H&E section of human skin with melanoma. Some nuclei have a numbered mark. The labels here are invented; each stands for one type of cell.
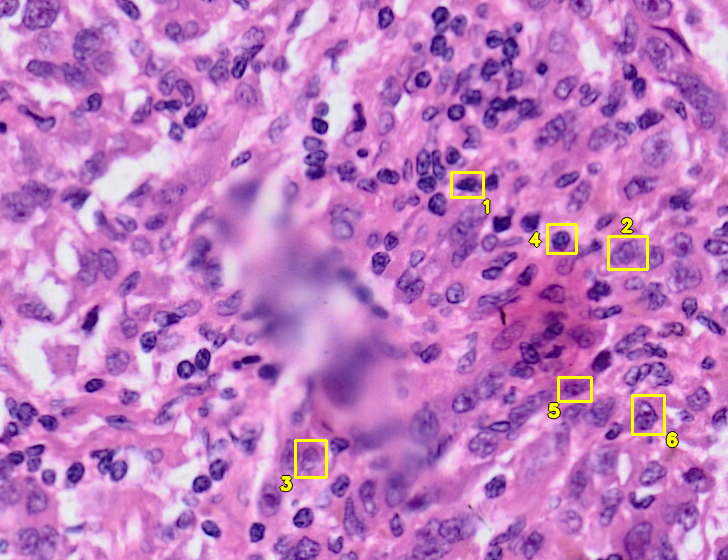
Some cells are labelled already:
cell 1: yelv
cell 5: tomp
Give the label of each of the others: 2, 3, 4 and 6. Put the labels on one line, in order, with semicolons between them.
tomp; tomp; yelv; tomp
